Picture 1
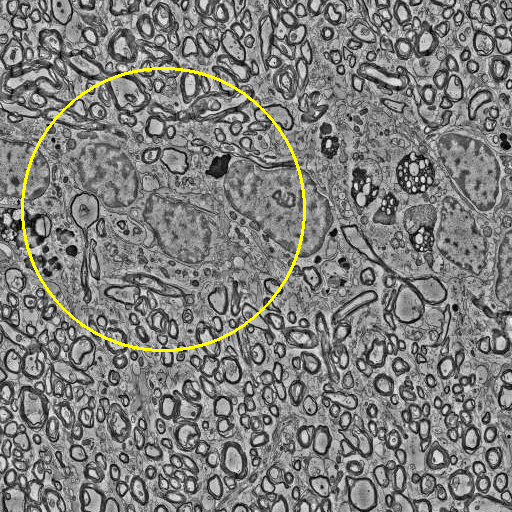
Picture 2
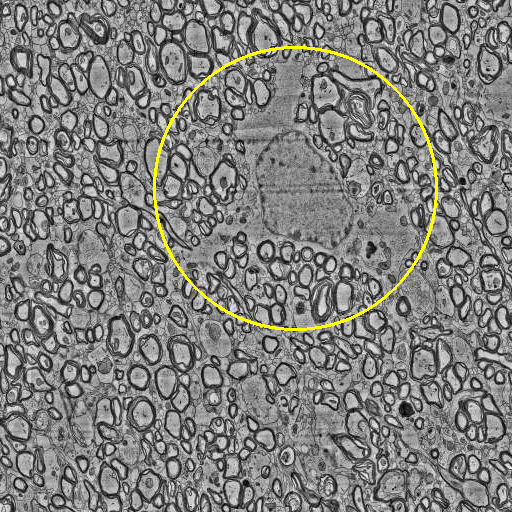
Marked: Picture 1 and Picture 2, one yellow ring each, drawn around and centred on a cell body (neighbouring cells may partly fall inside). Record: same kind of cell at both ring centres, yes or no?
no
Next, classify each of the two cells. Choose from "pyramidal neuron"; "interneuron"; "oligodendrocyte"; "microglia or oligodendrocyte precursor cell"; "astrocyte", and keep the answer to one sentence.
In the first picture it is an oligodendrocyte; in the second it is an astrocyte.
